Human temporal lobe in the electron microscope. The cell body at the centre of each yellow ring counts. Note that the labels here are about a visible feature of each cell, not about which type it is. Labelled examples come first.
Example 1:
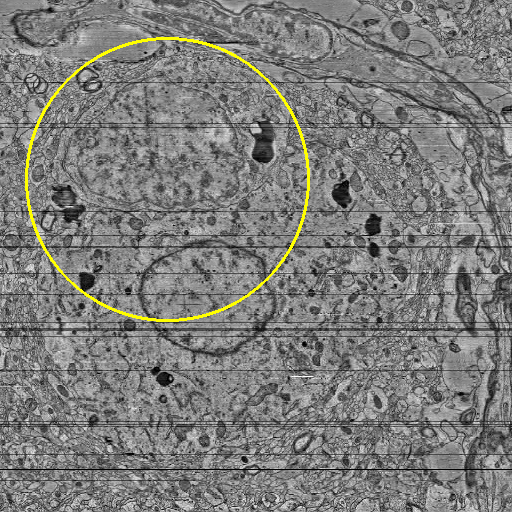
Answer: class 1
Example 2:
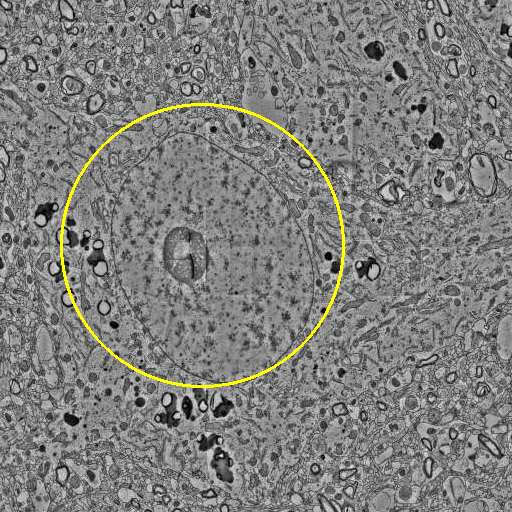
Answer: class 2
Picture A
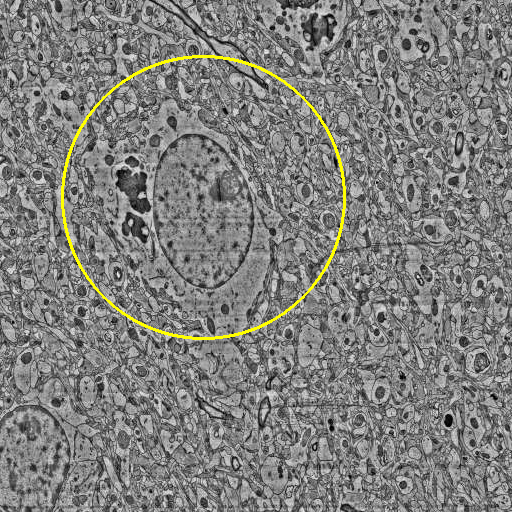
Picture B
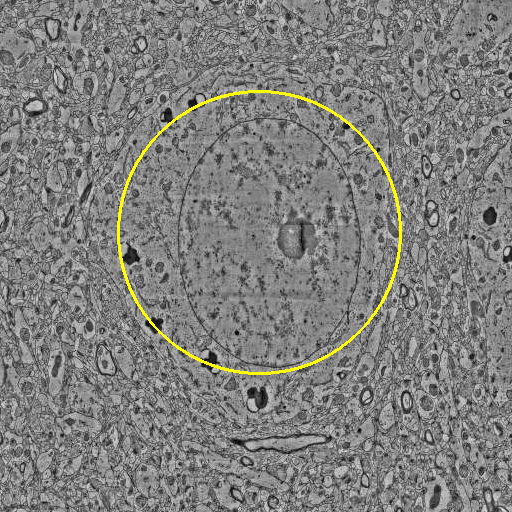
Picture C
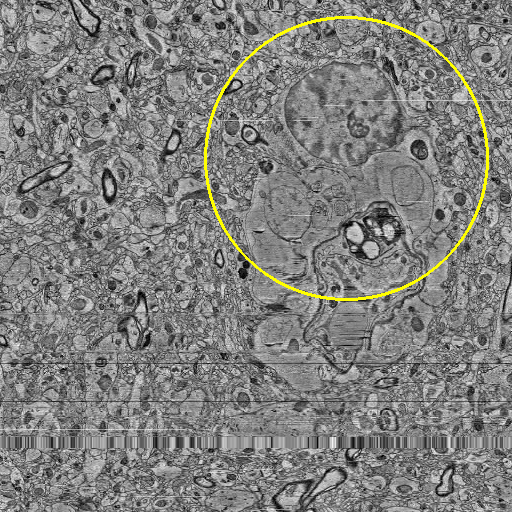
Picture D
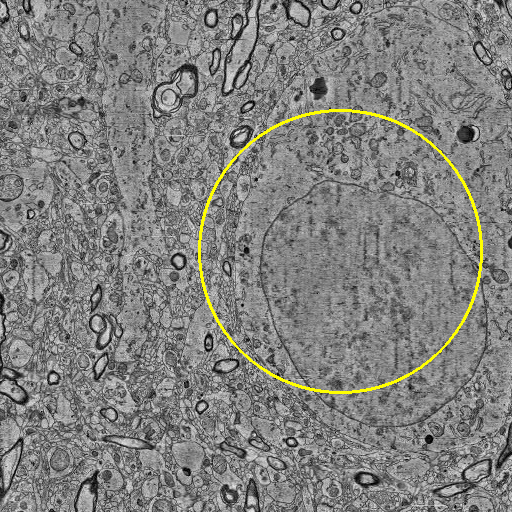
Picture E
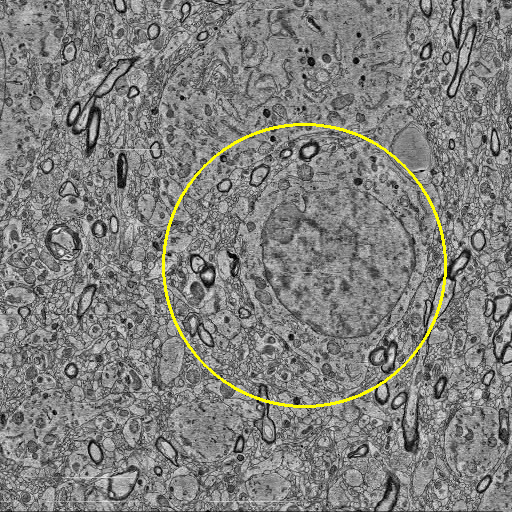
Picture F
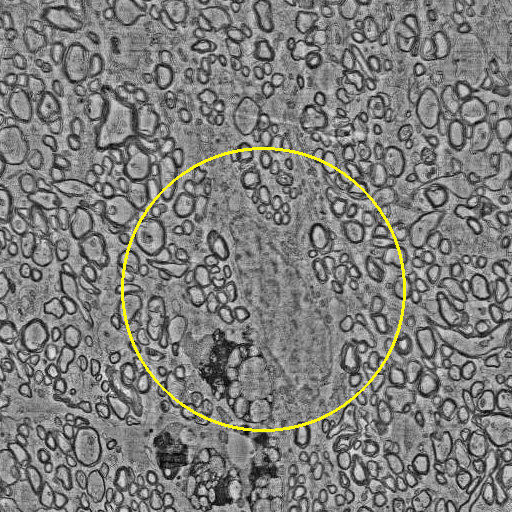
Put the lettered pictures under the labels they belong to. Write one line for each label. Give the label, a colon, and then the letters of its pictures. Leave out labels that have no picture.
class 1: D, E, F
class 2: A, B, C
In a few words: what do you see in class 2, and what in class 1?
In class 2: nucleolus seen. In class 1: no nucleolus seen.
